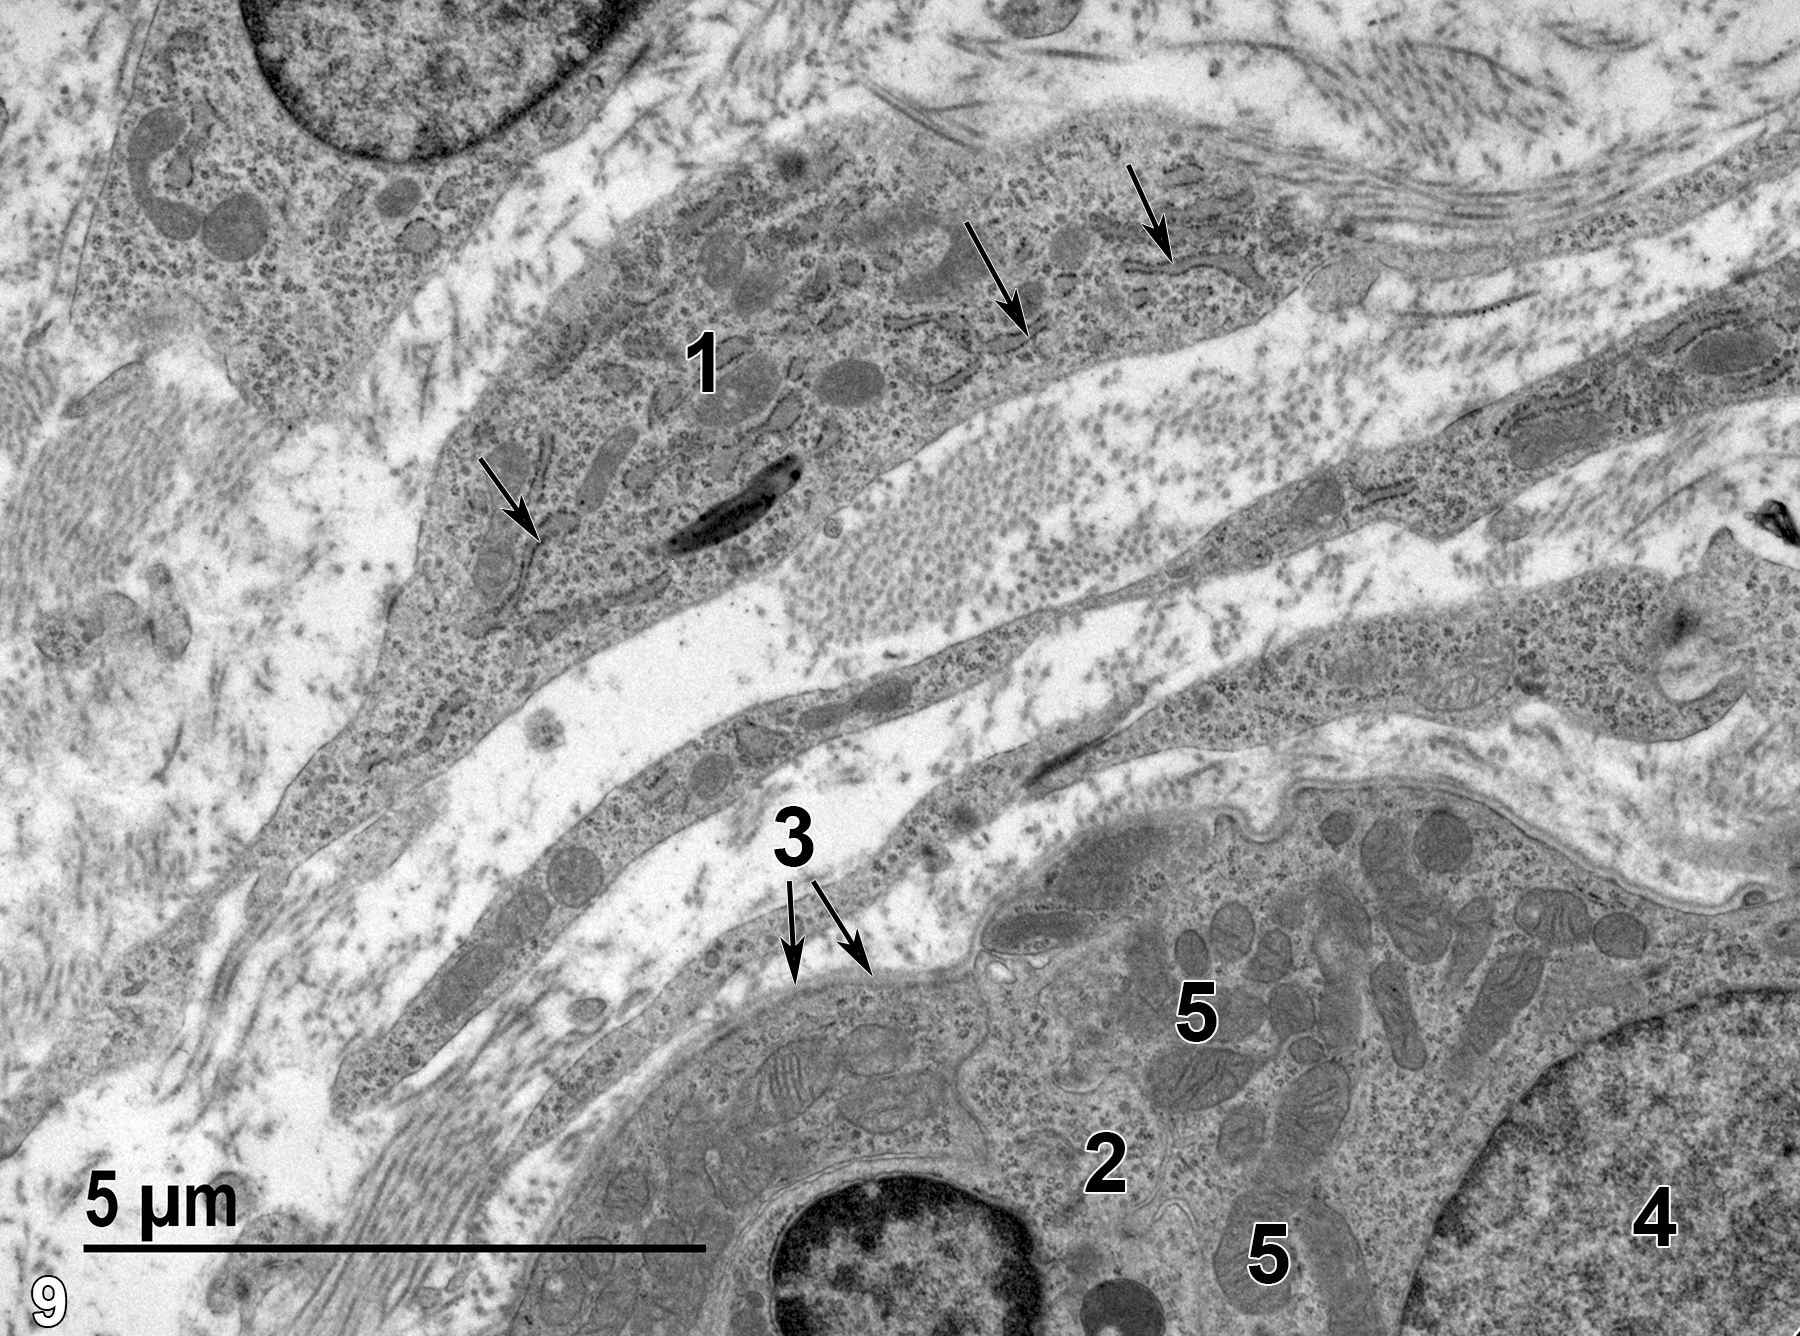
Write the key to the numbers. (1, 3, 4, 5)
1 fibroblasts
3 basal lamina
4 nucleus
5 mitochondria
